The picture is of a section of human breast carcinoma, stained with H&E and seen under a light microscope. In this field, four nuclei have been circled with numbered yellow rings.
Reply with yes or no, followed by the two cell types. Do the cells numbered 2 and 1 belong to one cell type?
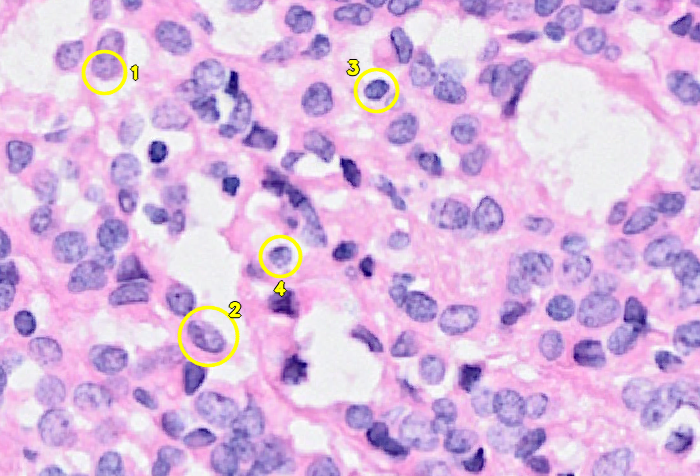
Yes, cells 2 and 1 both belong among the carcinoma cells.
